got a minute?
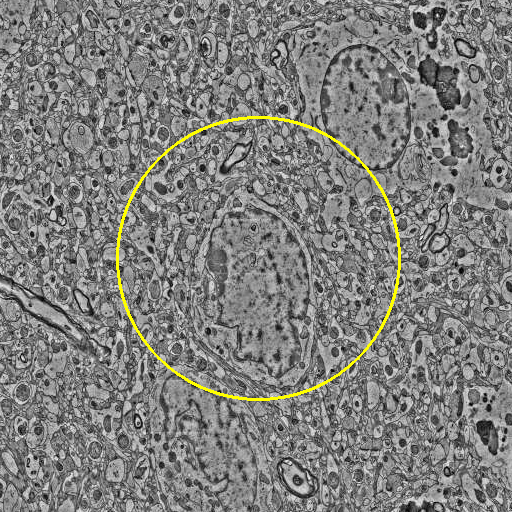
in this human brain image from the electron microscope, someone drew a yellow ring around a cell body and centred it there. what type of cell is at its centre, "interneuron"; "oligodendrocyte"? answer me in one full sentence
It's an interneuron at the middle of that yellow ring in the shot.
